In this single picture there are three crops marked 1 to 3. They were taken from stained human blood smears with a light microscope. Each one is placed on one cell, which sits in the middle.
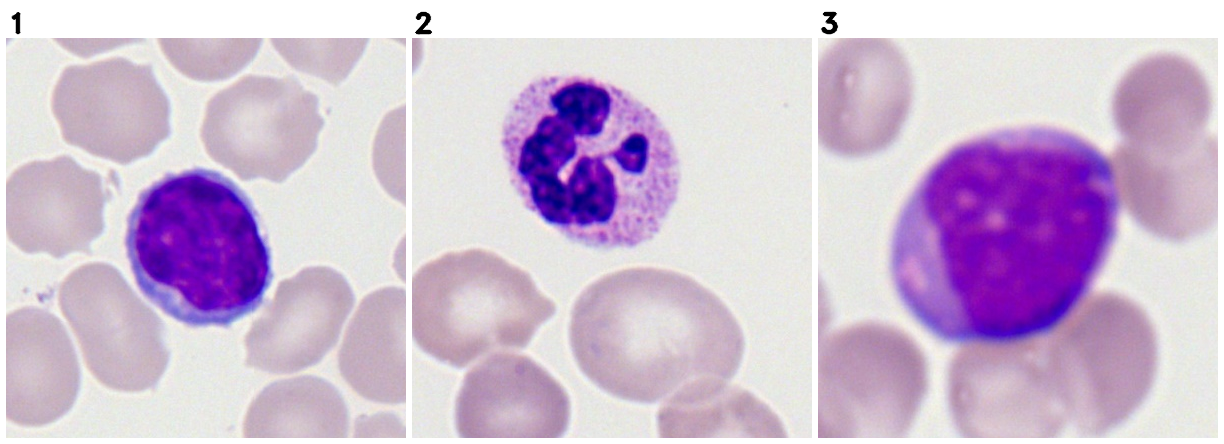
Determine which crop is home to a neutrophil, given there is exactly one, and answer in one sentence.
The sole crop showing a neutrophil is crop 2.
